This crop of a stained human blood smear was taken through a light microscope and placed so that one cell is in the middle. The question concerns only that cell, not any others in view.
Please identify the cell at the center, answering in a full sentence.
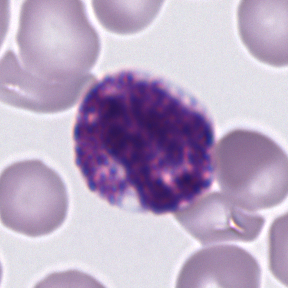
The cell featured at the centre of this crop is a basophil.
